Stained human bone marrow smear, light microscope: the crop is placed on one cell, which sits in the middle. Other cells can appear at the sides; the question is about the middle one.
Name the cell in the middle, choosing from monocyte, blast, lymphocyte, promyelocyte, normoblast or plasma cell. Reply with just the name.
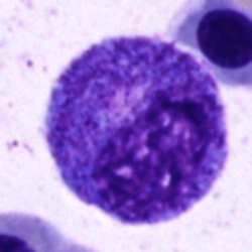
promyelocyte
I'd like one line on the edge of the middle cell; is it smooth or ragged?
Irregularity marks the cell border, whether as raggedness or as projections.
